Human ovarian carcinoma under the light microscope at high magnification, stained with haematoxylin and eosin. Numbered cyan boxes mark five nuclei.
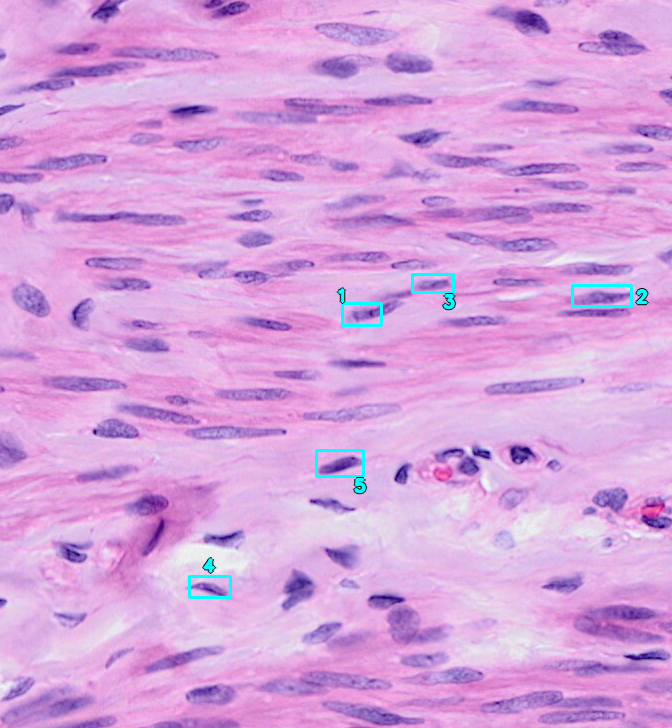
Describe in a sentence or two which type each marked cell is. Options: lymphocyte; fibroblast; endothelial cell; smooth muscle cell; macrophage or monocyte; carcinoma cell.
Cells 1, 2 and 3 are smooth muscle cells. Cells 4 and 5 are fibroblasts.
